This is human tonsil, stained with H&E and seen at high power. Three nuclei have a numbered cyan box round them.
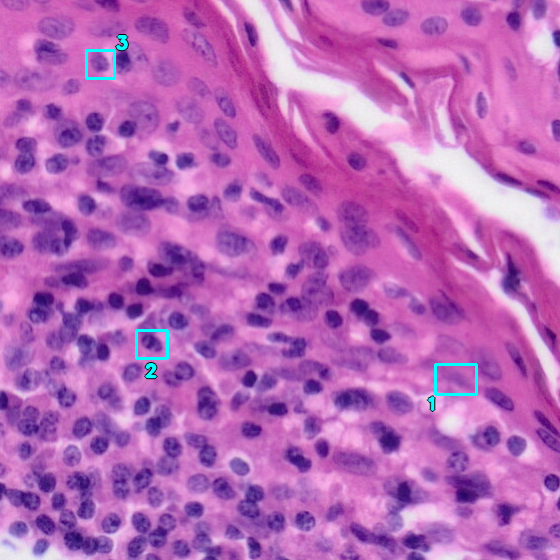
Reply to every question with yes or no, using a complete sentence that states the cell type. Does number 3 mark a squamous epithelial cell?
Yes, the cell pointed out as number 3 is a squamous epithelial cell.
